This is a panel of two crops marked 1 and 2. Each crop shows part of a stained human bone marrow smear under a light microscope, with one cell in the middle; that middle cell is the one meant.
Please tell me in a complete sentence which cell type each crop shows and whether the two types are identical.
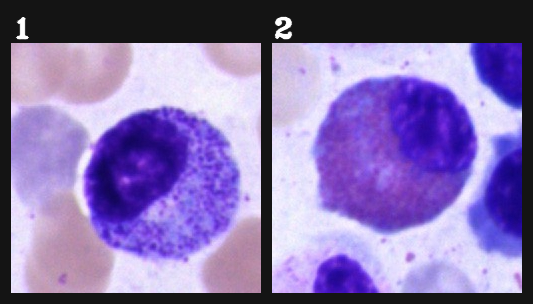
No, cell 1 is a promyelocyte, and cell 2 is an eosinophil.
